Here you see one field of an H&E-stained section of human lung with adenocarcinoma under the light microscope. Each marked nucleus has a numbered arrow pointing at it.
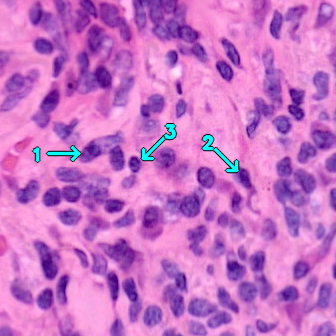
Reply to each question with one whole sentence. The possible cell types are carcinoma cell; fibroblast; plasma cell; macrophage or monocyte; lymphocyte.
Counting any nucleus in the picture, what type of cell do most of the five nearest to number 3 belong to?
Around number 3, most of the five nearest nuclei are those of lymphocytes.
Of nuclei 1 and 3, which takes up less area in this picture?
It is nucleus 3; nucleus 1 has about 2 times its area.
